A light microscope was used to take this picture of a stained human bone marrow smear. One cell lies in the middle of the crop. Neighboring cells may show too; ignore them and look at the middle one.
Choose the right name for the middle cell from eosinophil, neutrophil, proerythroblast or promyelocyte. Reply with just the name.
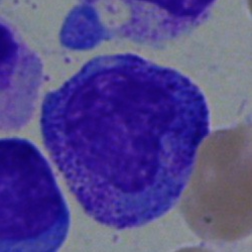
promyelocyte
